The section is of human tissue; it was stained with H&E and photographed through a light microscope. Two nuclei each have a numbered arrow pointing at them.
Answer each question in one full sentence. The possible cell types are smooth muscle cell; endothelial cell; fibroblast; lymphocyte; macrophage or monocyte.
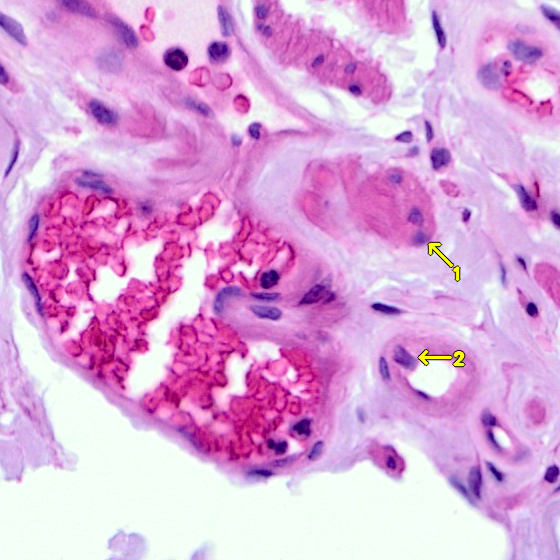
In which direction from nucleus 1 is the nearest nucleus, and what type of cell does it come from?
Lying above nucleus 1, the nearest nucleus is that of a smooth muscle cell.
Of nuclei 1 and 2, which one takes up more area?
Nucleus 2 is the larger one, covering about 1.5 times the area of nucleus 1.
